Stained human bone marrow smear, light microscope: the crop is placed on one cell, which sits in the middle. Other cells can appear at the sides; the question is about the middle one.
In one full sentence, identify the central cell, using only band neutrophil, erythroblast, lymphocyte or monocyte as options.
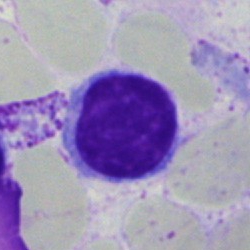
The crop centres on a single cell, and that cell is a lymphocyte.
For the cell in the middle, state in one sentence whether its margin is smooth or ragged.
Around its whole circumference the outline stays smooth, free of projections.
